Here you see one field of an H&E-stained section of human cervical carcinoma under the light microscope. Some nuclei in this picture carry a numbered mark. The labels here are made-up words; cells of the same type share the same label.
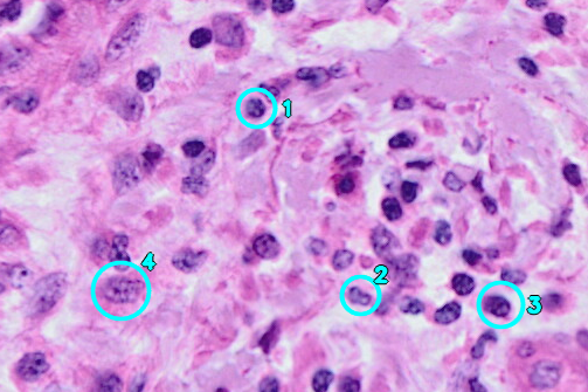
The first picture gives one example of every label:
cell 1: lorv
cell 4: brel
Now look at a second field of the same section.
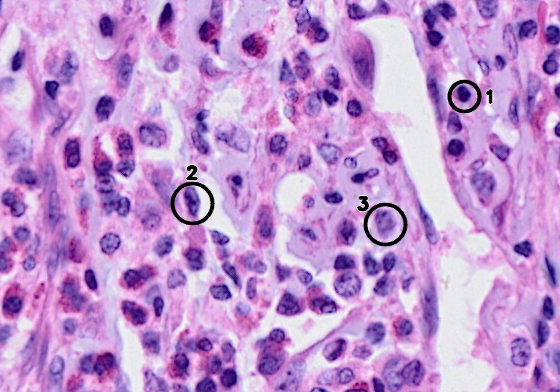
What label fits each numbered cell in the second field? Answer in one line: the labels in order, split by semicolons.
lorv; lorv; brel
